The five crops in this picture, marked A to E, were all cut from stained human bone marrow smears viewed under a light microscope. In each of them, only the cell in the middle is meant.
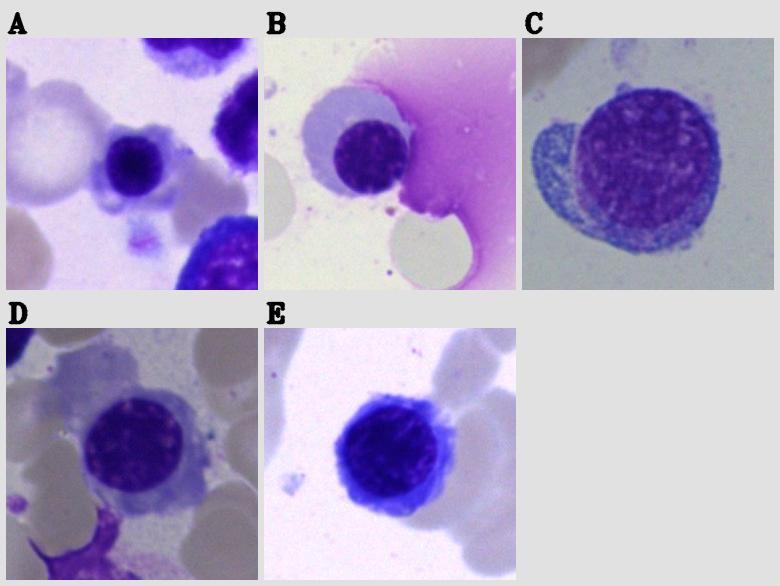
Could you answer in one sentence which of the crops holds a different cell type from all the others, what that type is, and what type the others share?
Crop C is the exception here: it is a blast, and the others are erythroblasts.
